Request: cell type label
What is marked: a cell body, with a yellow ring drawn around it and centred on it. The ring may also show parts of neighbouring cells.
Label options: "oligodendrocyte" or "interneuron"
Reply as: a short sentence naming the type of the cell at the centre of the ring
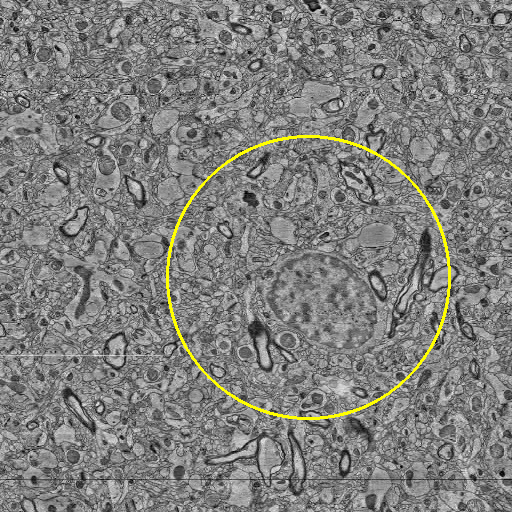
The marked cell body is that of an oligodendrocyte.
